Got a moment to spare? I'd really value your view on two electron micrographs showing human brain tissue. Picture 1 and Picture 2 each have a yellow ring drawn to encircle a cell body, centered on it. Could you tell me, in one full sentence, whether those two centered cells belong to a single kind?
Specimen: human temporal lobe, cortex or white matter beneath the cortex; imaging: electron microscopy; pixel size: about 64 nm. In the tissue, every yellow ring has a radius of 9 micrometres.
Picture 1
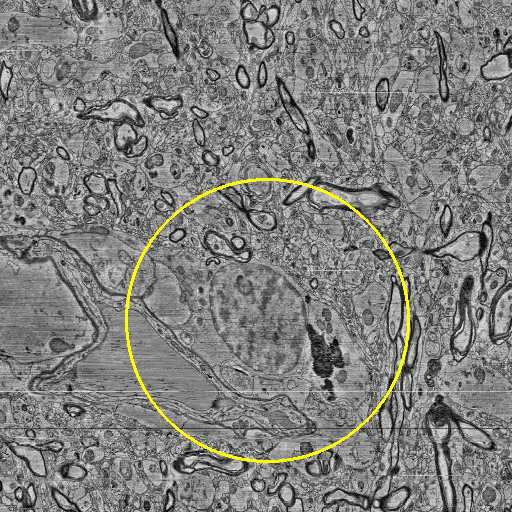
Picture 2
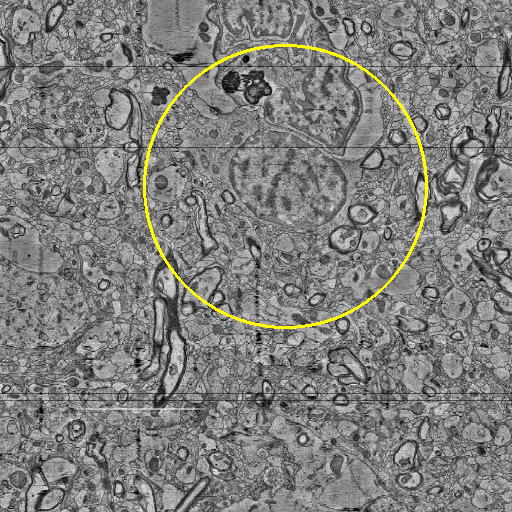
Yes, the two centered cells in Picture 1 and Picture 2 are of a single kind.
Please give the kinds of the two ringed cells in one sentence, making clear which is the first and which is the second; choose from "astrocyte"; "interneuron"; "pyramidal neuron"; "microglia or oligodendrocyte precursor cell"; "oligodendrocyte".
Each of the two pictures has an oligodendrocyte at the ring centre.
